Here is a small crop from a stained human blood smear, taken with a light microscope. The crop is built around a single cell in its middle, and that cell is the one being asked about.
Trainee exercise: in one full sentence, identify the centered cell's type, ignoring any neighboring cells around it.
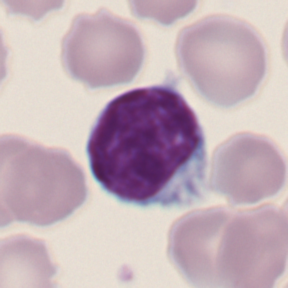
Of the cells in this crop, the central one is a lymphocyte.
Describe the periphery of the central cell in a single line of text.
The edge of the cell is broken up by ragged stretches or by outward projections.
